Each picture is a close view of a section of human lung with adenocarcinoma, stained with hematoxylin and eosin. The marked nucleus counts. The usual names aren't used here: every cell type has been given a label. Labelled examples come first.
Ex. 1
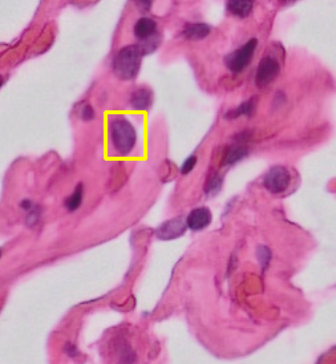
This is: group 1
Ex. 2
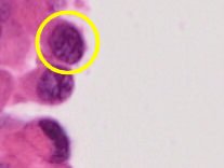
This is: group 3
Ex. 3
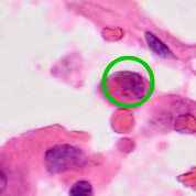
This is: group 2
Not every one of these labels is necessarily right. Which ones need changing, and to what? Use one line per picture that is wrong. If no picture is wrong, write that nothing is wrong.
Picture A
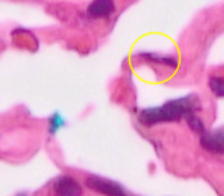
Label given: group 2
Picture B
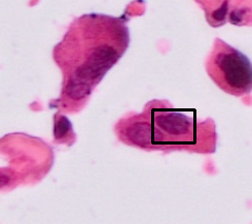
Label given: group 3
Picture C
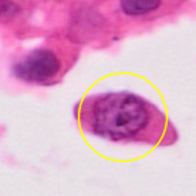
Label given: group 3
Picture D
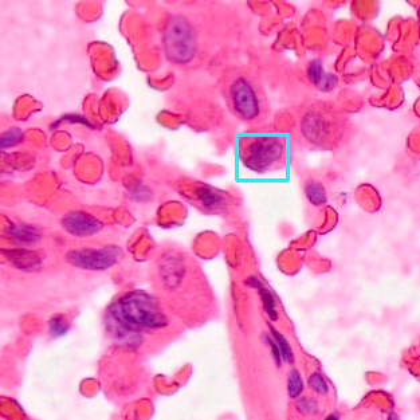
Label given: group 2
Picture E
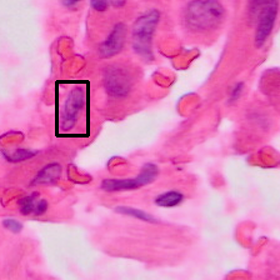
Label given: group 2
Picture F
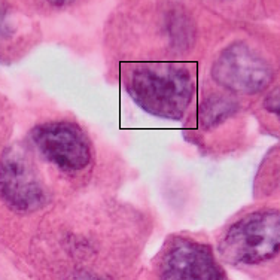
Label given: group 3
A: change group 2 to group 1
